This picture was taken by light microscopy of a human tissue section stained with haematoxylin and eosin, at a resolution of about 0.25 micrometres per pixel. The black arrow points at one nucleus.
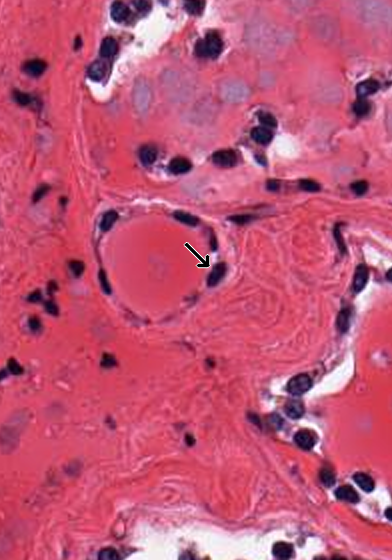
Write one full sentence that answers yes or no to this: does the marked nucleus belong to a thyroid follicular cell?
Yes, in this section the marked nucleus belongs to a thyroid follicular cell.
